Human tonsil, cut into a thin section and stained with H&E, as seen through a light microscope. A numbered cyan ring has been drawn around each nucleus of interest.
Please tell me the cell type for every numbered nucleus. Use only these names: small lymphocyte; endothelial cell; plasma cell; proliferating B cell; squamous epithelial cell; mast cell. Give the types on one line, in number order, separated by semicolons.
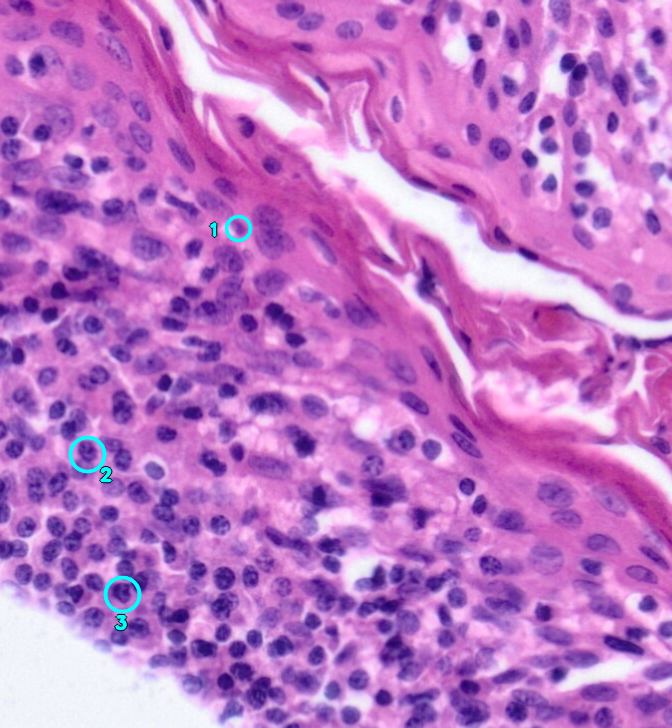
squamous epithelial cell; plasma cell; plasma cell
